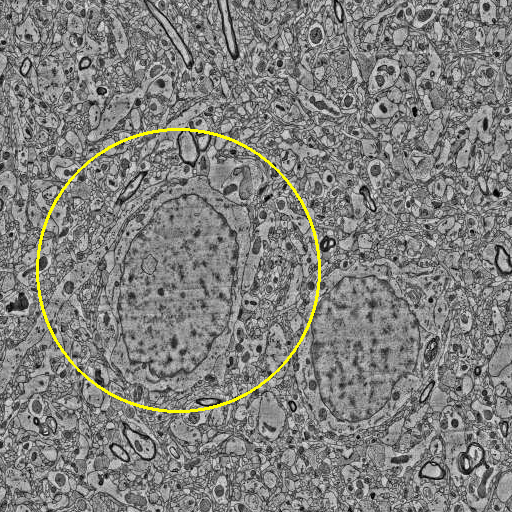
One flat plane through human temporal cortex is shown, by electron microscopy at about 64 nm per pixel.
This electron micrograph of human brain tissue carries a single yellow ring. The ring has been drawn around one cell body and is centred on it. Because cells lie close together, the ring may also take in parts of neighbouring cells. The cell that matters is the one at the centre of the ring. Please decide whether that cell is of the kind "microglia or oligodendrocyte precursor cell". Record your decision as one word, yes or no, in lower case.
no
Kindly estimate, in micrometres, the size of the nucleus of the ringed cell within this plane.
Roughly 12 by 7 micrometers, clearly longer than it is wide in this plane.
